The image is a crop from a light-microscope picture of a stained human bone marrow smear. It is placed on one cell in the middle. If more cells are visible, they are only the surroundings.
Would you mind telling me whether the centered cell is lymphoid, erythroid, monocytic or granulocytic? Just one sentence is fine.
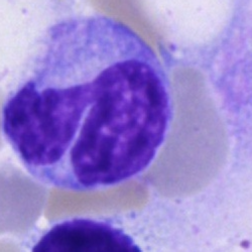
In this crop, the central cell belongs to the monocytic lineage.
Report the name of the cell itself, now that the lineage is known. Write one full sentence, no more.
In the center of this field lies a monocyte.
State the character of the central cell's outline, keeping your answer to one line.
Its periphery is smooth, and no projections arise from it.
